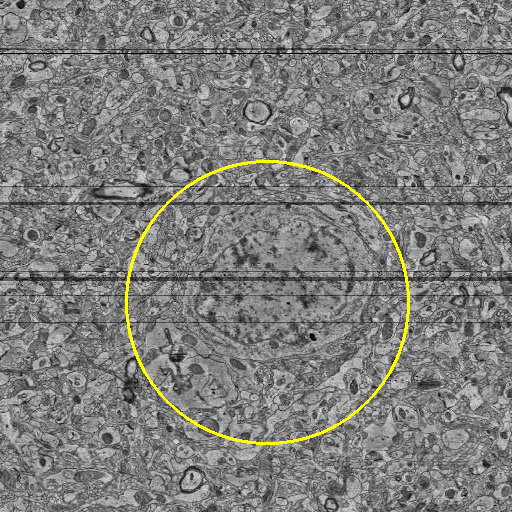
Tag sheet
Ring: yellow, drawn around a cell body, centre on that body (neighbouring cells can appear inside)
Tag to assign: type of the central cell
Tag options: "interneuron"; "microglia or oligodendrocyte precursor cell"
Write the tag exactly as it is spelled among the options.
interneuron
